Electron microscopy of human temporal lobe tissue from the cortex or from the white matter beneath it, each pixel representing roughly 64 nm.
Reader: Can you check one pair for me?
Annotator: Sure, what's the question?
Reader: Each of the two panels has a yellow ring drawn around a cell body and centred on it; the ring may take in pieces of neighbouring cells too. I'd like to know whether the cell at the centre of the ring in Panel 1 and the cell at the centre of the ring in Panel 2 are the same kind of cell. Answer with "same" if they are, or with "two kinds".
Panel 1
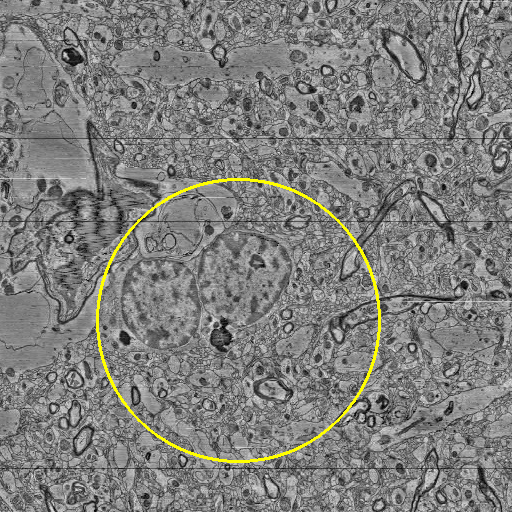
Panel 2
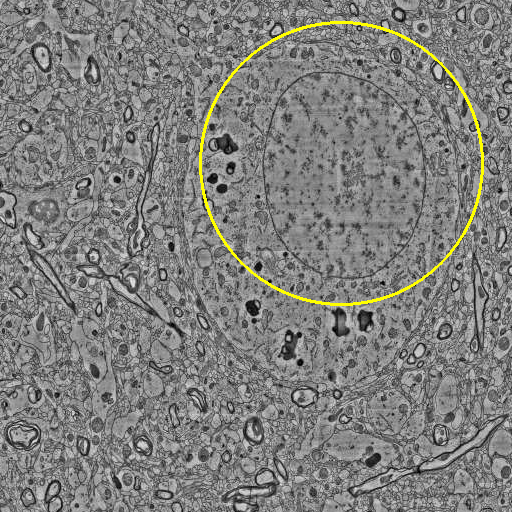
two kinds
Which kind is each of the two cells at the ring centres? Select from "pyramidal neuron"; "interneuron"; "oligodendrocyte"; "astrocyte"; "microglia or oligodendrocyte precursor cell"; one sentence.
The cell at the centre of the ring is an oligodendrocyte in the first picture and a pyramidal neuron in the second.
